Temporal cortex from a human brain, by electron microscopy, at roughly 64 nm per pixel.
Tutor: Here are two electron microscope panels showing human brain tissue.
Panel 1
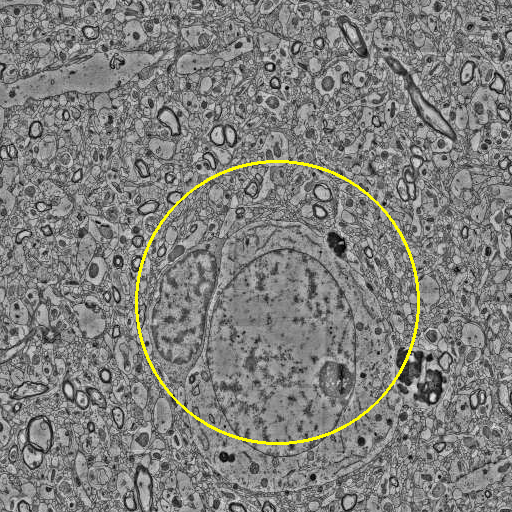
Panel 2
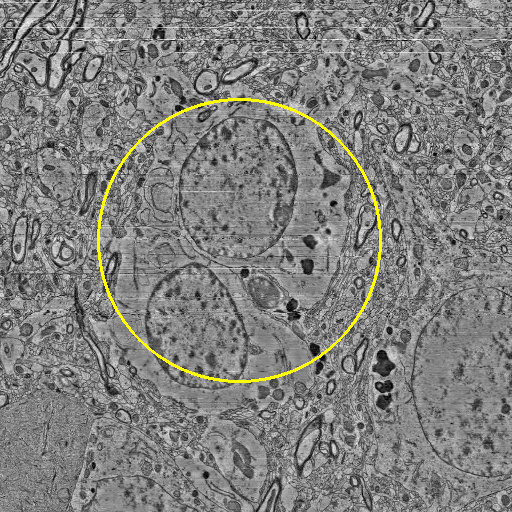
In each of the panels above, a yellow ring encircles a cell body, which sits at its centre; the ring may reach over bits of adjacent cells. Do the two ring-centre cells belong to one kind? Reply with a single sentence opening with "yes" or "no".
No, the two cells sitting at the ring centres in the panels belong to two kinds.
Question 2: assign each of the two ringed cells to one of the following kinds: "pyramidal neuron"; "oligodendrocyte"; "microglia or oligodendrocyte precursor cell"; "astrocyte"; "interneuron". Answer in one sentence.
The two cells are a pyramidal neuron in the first picture and an astrocyte in the second.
